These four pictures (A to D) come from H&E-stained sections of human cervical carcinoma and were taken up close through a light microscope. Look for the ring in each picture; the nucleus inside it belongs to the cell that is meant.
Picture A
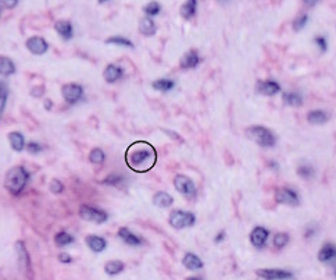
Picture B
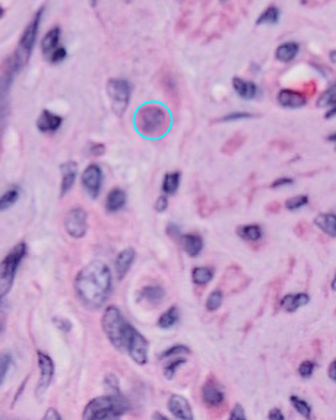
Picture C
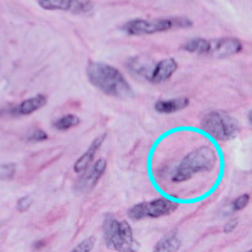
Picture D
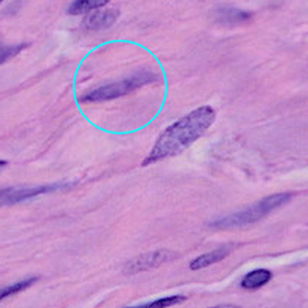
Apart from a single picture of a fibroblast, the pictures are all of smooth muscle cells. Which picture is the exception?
D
